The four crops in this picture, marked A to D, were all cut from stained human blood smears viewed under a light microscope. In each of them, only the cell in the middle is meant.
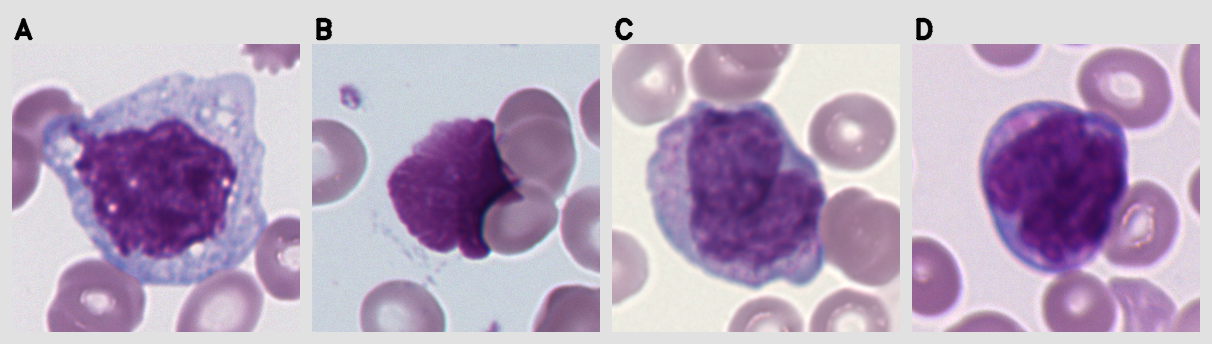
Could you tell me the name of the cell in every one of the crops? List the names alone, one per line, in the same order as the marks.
myeloblast
smudge cell
atypical promyelocyte
atypical promyelocyte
